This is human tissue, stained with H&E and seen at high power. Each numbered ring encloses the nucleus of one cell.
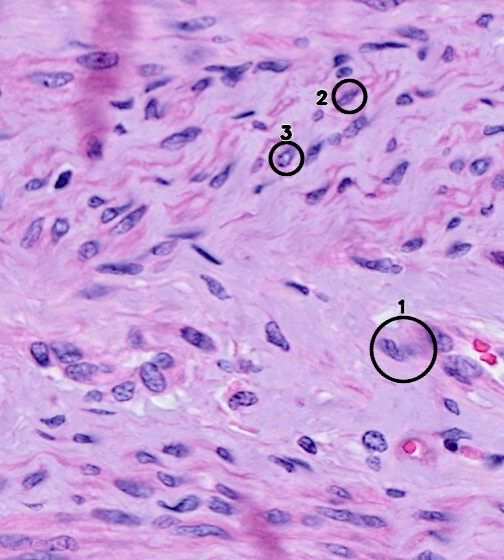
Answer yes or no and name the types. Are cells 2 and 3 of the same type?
Yes, both are smooth muscle cells.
